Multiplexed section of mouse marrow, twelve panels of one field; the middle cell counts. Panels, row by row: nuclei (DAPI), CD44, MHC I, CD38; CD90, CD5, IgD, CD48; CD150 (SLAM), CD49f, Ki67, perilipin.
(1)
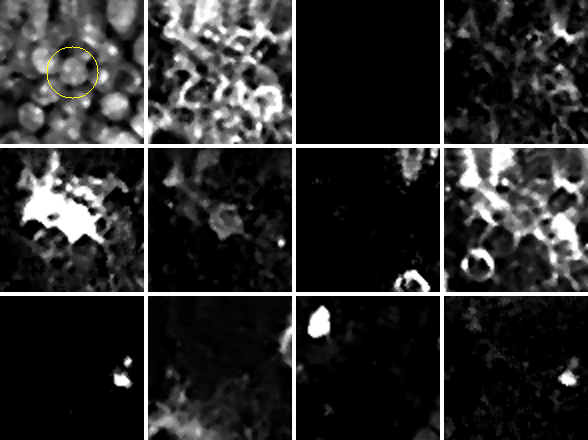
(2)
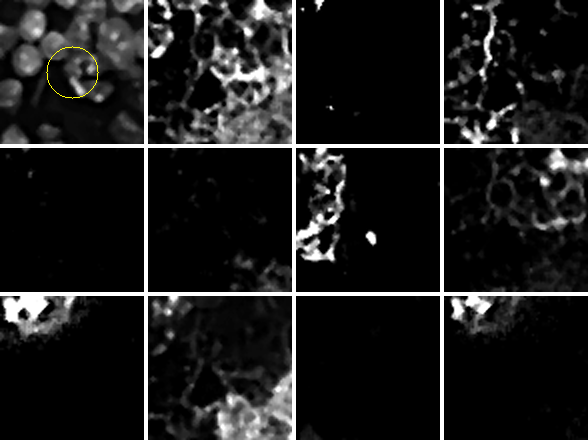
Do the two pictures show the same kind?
No: a T cell, then a neutrophil.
